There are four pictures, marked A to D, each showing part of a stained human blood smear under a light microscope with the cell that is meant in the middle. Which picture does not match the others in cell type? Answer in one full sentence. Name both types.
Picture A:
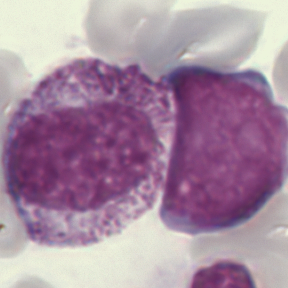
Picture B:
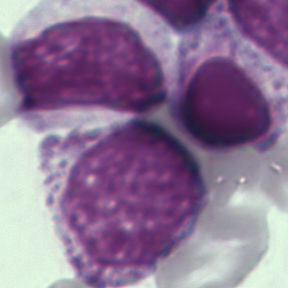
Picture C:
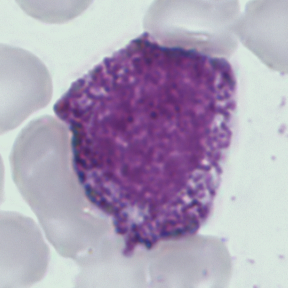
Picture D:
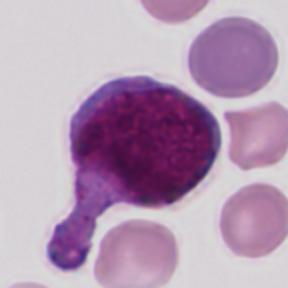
Picture D is the odd one out: it shows an atypical promyelocyte, while the others show myelocytes.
